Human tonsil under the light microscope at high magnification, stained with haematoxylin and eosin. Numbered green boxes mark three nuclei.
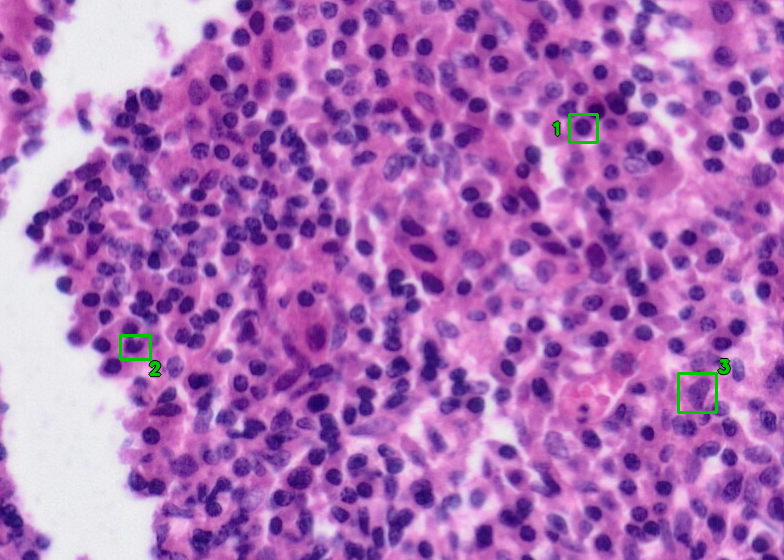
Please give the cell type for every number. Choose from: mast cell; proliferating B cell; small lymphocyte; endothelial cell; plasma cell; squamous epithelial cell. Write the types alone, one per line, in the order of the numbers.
plasma cell
plasma cell
squamous epithelial cell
